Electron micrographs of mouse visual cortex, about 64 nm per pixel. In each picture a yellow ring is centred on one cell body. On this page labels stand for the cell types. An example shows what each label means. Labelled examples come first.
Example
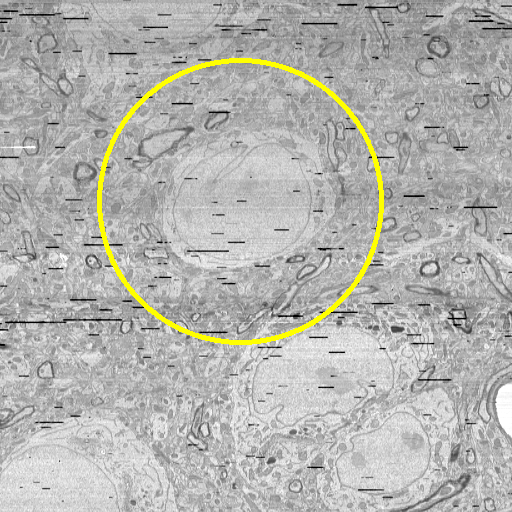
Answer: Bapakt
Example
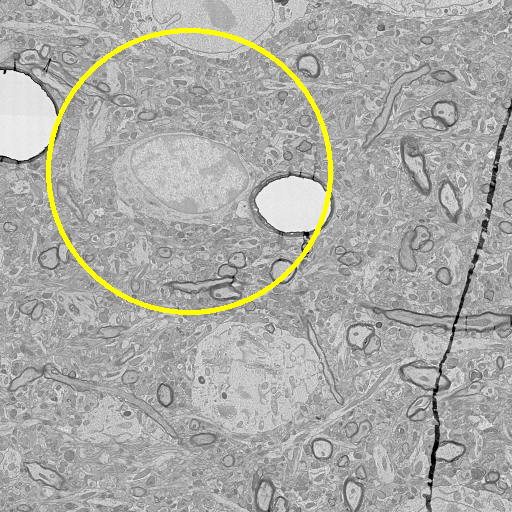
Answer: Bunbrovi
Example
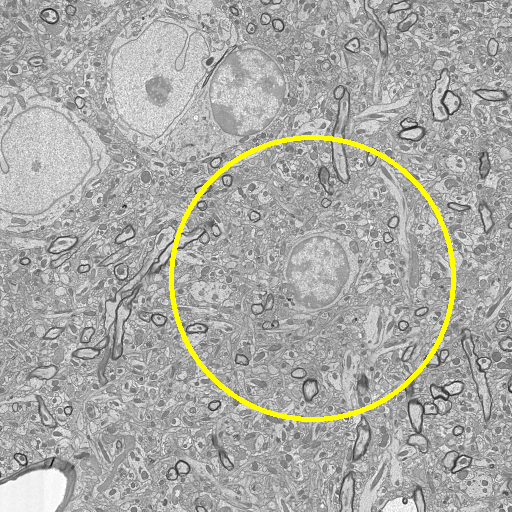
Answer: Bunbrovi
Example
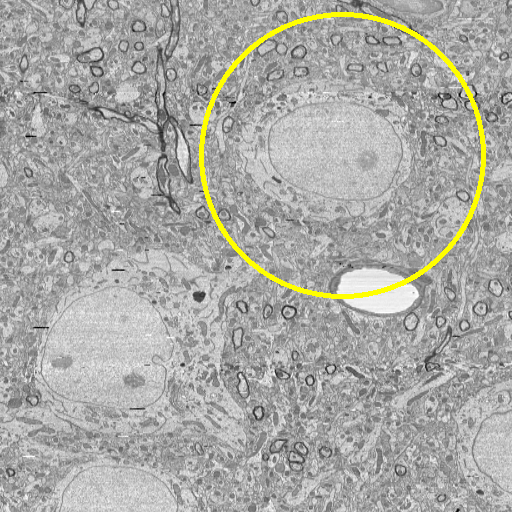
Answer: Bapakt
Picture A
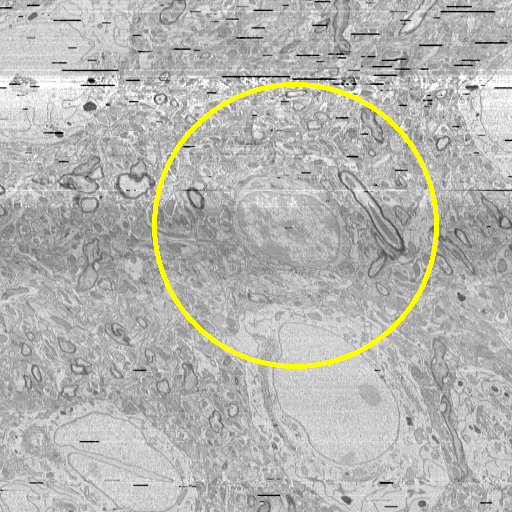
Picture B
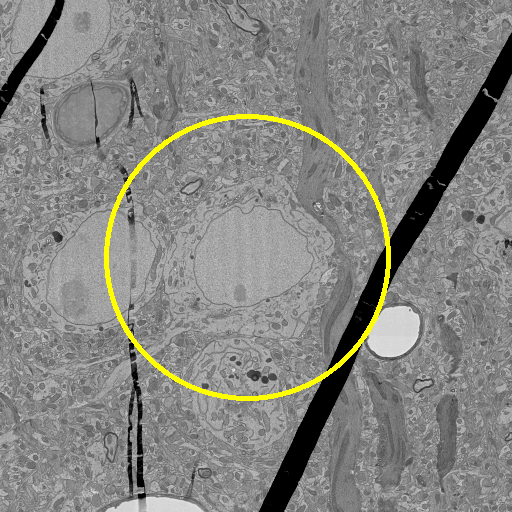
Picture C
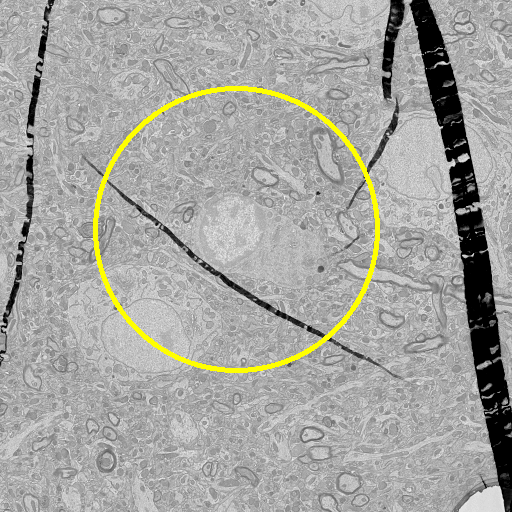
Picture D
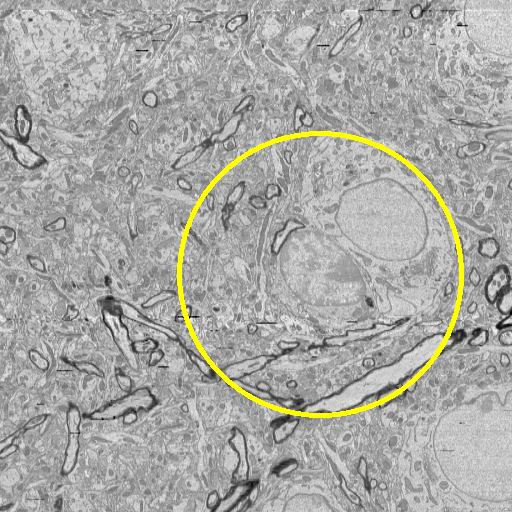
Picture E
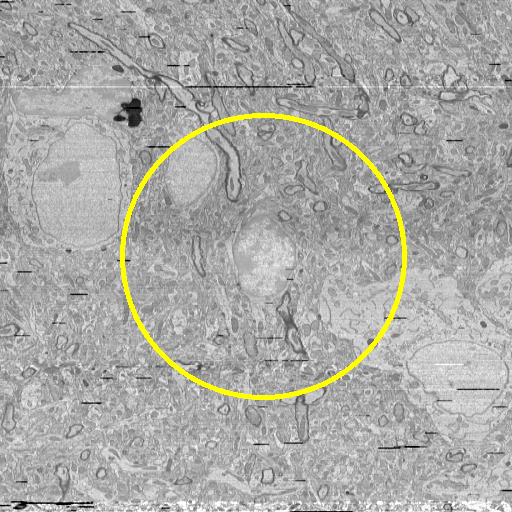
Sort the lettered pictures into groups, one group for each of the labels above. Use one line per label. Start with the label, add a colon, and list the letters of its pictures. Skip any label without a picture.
Bapakt: B
Bunbrovi: A, C, D, E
